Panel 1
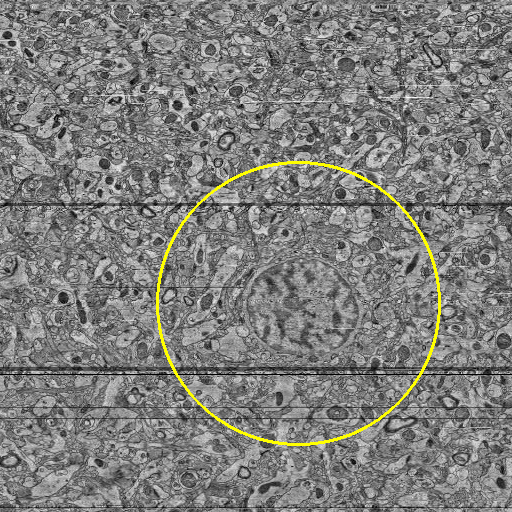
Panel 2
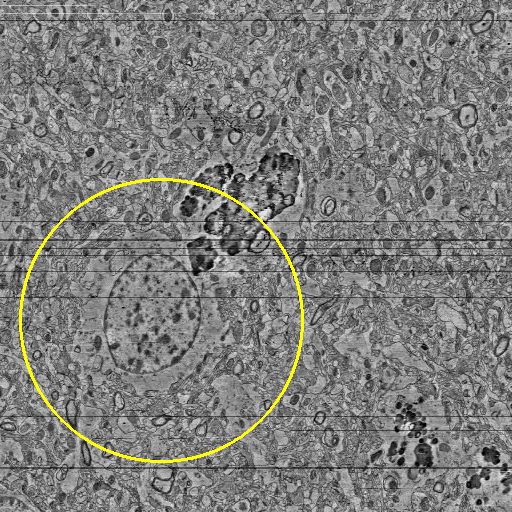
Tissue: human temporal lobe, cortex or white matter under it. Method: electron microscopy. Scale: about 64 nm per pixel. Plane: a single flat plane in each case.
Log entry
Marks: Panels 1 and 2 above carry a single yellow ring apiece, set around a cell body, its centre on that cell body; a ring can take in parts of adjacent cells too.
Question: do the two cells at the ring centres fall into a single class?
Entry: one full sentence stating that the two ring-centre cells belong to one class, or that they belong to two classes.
The two ring-centre cells in Panels 1 and 2 belong to two classes.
